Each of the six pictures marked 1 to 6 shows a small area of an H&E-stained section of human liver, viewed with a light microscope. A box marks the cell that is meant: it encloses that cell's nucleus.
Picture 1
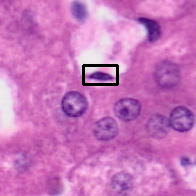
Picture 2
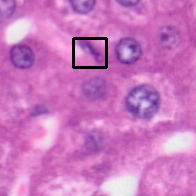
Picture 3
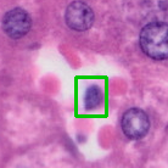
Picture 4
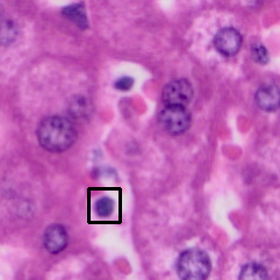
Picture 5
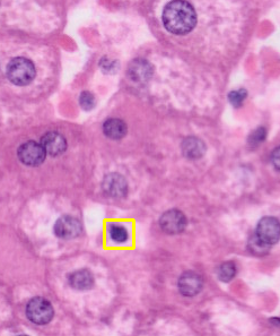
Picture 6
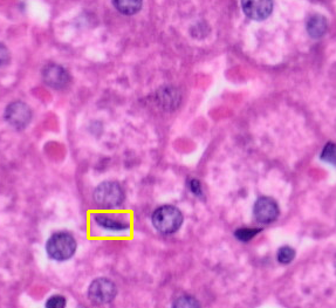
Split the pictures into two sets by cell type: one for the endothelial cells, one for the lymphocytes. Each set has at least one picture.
1: endothelial cell
2: endothelial cell
3: lymphocyte
4: lymphocyte
5: lymphocyte
6: endothelial cell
